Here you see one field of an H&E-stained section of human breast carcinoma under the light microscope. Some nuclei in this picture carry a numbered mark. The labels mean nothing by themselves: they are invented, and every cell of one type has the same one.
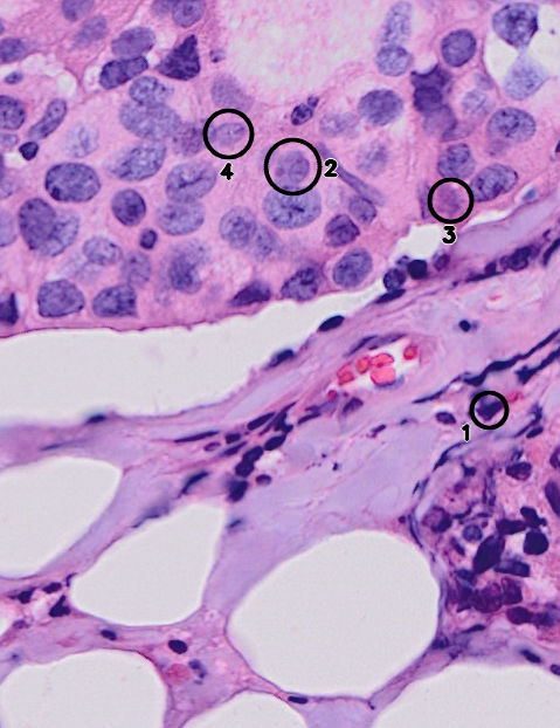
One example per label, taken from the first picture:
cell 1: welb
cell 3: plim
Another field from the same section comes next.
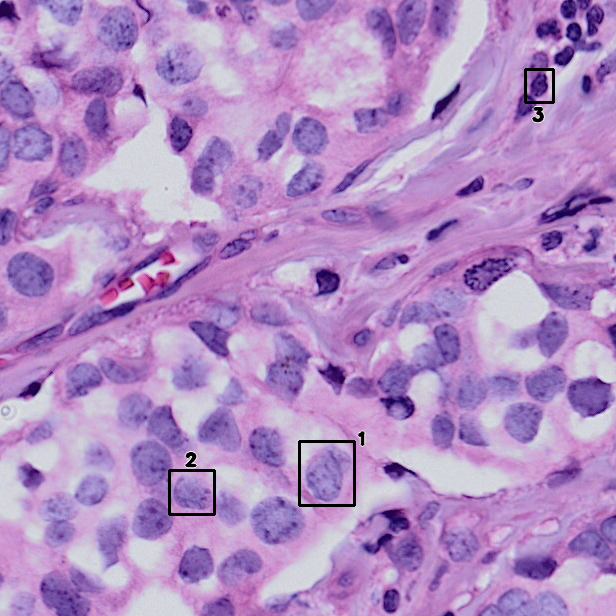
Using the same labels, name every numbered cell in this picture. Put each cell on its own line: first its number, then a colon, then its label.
1: plim
2: plim
3: welb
